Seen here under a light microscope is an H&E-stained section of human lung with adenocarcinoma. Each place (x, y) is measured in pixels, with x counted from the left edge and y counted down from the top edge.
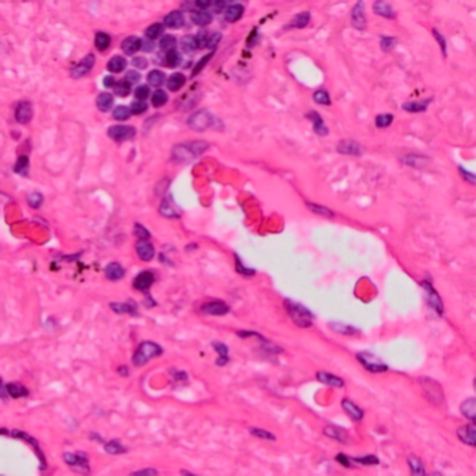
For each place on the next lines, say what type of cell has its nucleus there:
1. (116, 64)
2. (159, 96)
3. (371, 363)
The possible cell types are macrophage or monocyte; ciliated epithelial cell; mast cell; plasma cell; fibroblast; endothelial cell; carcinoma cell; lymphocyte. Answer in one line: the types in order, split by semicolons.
lymphocyte; lymphocyte; endothelial cell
